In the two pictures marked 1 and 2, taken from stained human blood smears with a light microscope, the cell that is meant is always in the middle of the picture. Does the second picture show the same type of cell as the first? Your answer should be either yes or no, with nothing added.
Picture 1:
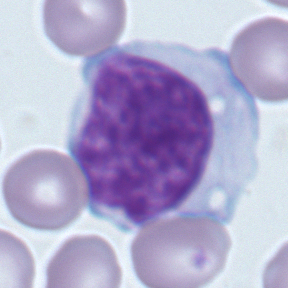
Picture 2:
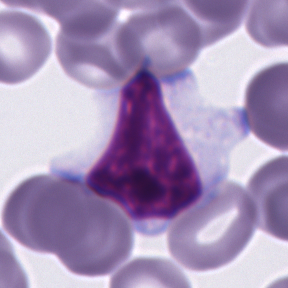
no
